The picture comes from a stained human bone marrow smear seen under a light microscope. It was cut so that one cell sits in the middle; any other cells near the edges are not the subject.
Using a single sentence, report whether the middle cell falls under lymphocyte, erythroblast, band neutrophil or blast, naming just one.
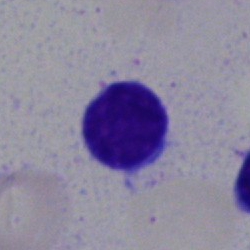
In this crop, the cell at the very middle is a lymphocyte.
